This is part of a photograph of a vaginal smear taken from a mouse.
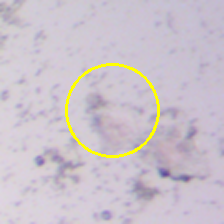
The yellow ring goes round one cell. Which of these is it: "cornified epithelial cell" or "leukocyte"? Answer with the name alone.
cornified epithelial cell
